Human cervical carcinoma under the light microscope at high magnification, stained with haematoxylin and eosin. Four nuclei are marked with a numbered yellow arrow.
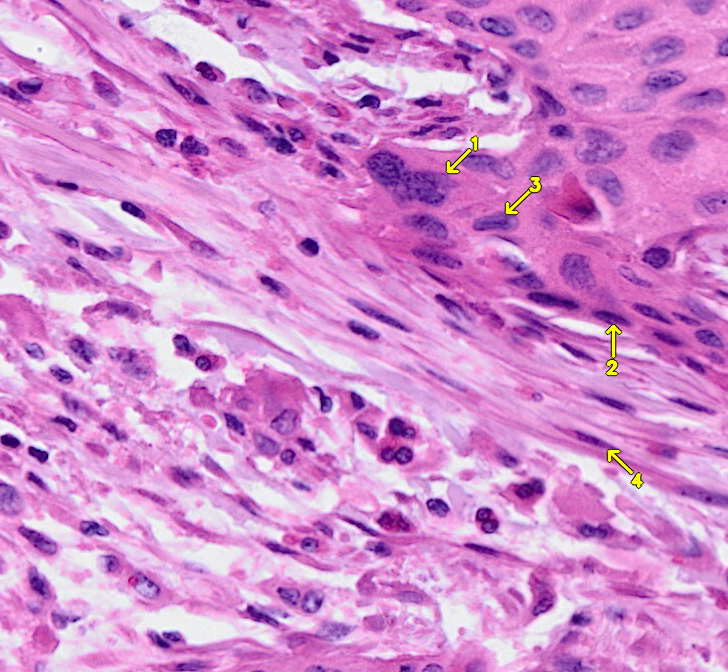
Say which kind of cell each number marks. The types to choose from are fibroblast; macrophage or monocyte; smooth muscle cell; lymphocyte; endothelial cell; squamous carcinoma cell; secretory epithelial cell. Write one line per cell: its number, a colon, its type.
1: squamous carcinoma cell
2: squamous carcinoma cell
3: squamous carcinoma cell
4: fibroblast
